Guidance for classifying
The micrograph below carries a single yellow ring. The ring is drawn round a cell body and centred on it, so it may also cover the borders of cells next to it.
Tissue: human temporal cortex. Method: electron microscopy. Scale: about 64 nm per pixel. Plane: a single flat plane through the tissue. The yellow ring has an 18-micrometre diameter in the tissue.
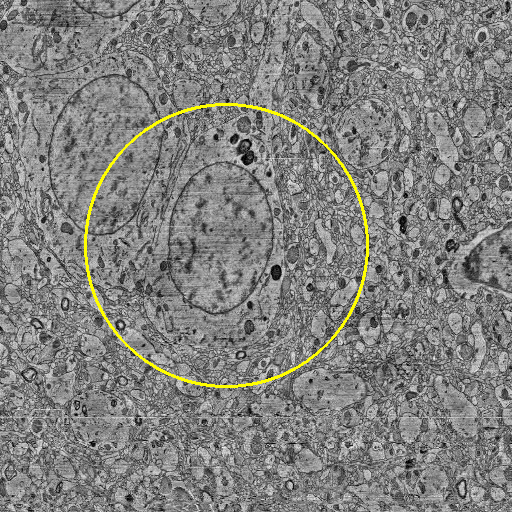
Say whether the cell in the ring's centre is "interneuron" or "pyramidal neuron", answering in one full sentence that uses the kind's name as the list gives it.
Within the yellow ring, a pyramidal neuron is the cell whose body sits at the centre.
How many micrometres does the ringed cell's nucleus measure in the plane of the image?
In this plane the nucleus measures roughly 10 by 7 micrometres.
